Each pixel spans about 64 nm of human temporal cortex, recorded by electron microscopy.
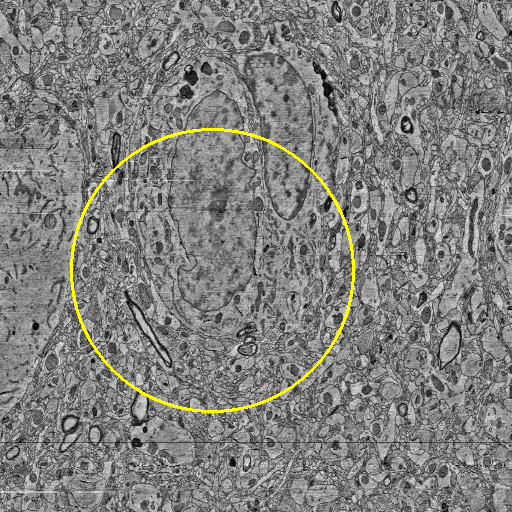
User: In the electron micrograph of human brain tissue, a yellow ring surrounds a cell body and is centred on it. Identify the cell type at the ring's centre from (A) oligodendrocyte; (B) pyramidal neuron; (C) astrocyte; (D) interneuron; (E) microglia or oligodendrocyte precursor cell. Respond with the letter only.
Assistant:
D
